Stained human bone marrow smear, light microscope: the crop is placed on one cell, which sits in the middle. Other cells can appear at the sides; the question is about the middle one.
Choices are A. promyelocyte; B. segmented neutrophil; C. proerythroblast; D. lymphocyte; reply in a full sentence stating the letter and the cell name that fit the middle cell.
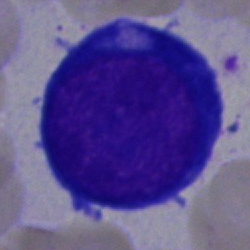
It is a proerythroblast that occupies the centre of the crop, so option C is correct.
